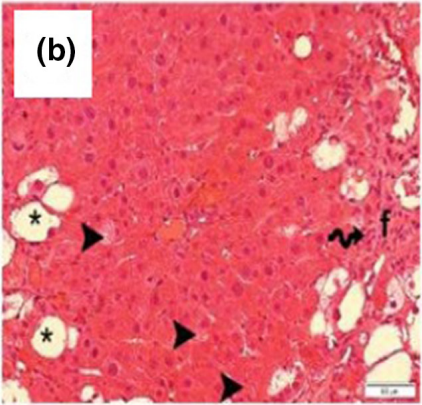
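Liver parenchyma of polygonal hepatocytes with pink cytoplasm and round dark nuclei, set in cords between sinusoids. Large round clear empty spaces lie in clusters among the cells, mostly at the left and right edges. Along the right margin a band of small dark-nucleated cells and loose tissue separates the hepatocyte plates.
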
